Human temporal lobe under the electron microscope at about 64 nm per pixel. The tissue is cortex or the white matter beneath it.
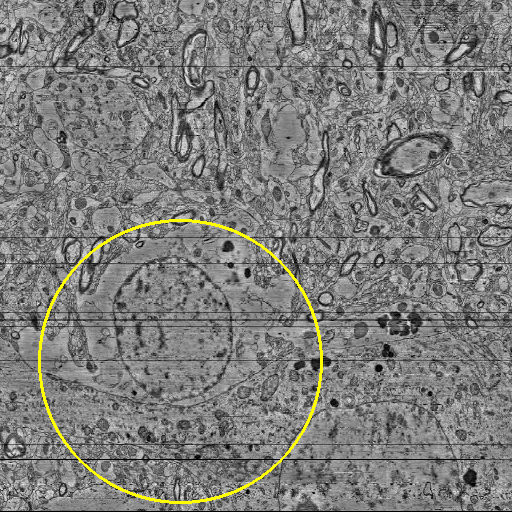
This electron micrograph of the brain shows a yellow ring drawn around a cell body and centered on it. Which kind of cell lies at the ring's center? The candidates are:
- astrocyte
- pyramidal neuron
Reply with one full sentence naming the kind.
The cell lying at the ring's center in this micrograph is an astrocyte.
